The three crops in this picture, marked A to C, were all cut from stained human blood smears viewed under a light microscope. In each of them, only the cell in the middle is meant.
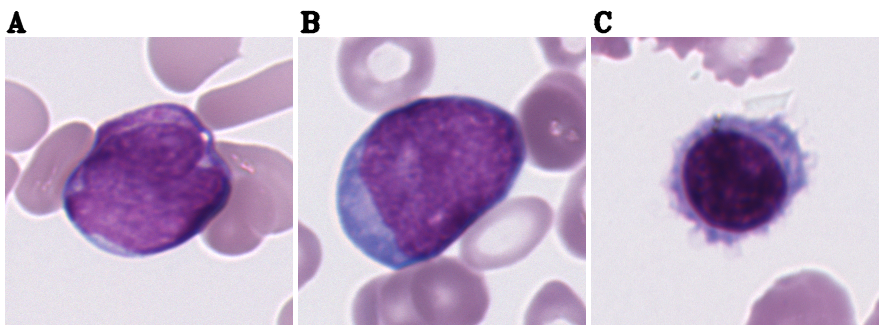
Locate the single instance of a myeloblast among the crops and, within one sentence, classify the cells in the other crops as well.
Crop B comes out as a myeloblast, while crop A is an atypical promyelocyte and crop C is a hairy cell.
